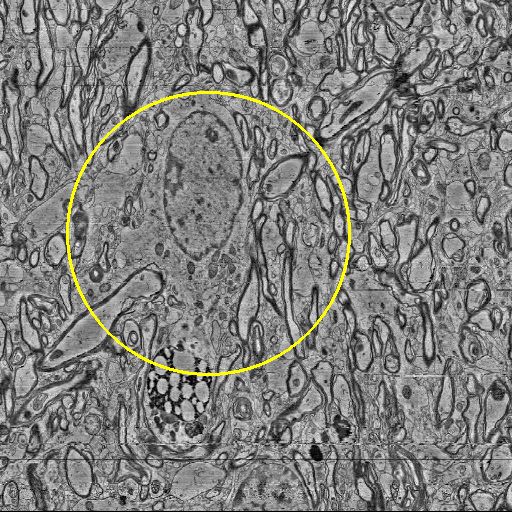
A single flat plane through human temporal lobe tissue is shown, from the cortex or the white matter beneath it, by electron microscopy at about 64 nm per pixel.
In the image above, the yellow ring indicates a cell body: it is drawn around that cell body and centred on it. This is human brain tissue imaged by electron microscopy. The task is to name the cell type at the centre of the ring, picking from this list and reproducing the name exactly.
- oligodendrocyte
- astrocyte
astrocyte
